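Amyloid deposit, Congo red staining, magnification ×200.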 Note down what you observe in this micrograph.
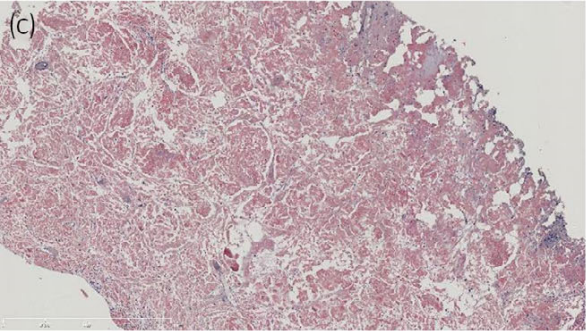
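The field is filled with broad, cracked sheets of amorphous material that take a red-pink colour, broken by white clefts and spaces. Cells are scarce: only a few small bluish nuclei and thin bluish strands appear, mainly near the edge of the fragment. No organised tissue architecture remains within the stained mass.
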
